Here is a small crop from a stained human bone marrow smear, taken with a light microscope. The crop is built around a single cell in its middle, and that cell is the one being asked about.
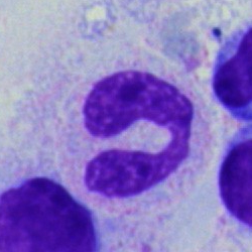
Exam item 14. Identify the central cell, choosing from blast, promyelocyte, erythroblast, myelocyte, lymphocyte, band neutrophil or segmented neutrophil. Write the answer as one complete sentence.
On this slide crop, the central cell is a segmented neutrophil.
